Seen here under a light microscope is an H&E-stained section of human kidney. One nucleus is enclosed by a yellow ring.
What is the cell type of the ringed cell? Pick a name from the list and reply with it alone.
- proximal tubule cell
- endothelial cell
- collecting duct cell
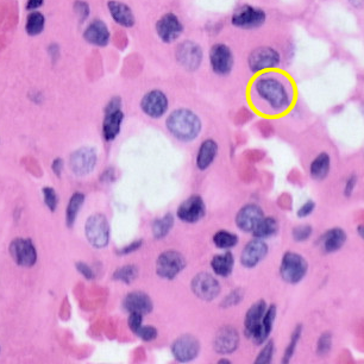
collecting duct cell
